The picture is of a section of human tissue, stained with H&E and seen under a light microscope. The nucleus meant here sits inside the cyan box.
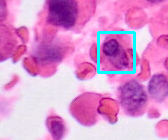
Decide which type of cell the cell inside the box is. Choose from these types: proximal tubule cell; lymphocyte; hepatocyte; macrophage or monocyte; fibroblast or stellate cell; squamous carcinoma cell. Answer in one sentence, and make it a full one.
In short, the cell inside the box on this section is a macrophage or monocyte.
